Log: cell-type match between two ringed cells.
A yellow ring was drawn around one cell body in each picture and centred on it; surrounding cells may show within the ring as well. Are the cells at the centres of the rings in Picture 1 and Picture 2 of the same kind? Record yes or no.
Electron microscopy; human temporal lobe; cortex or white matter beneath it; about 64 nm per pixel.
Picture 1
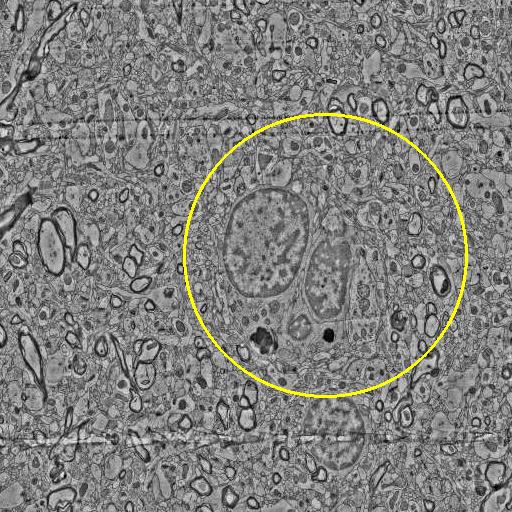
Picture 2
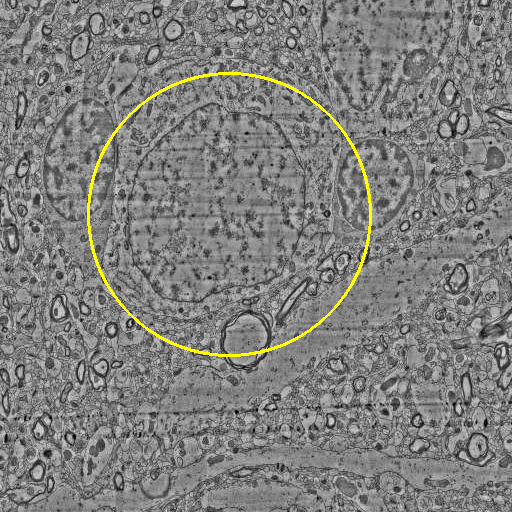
no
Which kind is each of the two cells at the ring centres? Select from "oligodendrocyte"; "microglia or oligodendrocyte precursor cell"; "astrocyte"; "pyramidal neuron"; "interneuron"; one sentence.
The cell at the centre of the ring is an oligodendrocyte in the first picture and a pyramidal neuron in the second.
